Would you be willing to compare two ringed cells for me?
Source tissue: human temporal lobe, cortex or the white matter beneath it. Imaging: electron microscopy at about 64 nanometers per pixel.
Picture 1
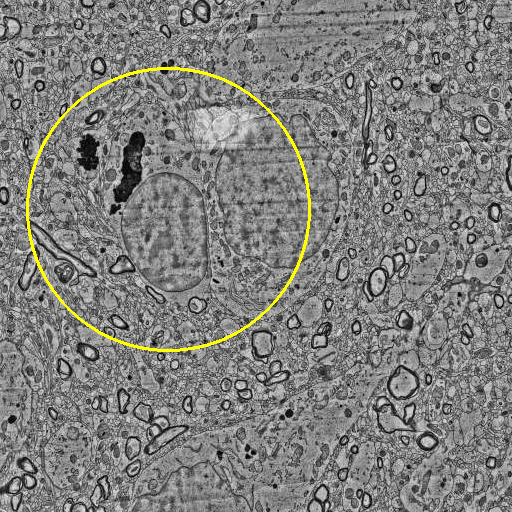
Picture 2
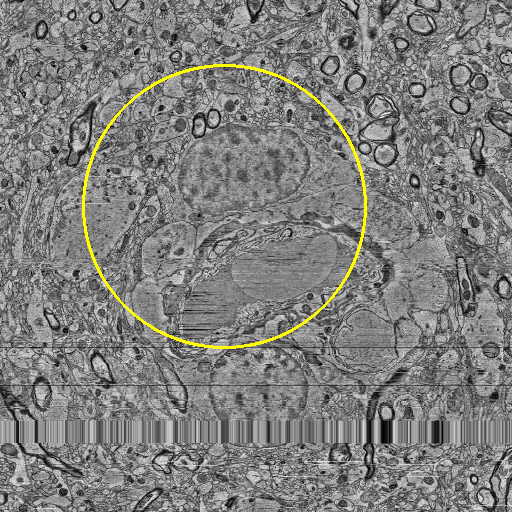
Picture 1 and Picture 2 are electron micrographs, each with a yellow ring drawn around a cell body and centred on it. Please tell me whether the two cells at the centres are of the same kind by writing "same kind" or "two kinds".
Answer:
same kind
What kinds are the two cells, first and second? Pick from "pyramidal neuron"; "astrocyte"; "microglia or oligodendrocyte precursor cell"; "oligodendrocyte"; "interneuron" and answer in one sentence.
Both rings mark an oligodendrocyte, one in each picture.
